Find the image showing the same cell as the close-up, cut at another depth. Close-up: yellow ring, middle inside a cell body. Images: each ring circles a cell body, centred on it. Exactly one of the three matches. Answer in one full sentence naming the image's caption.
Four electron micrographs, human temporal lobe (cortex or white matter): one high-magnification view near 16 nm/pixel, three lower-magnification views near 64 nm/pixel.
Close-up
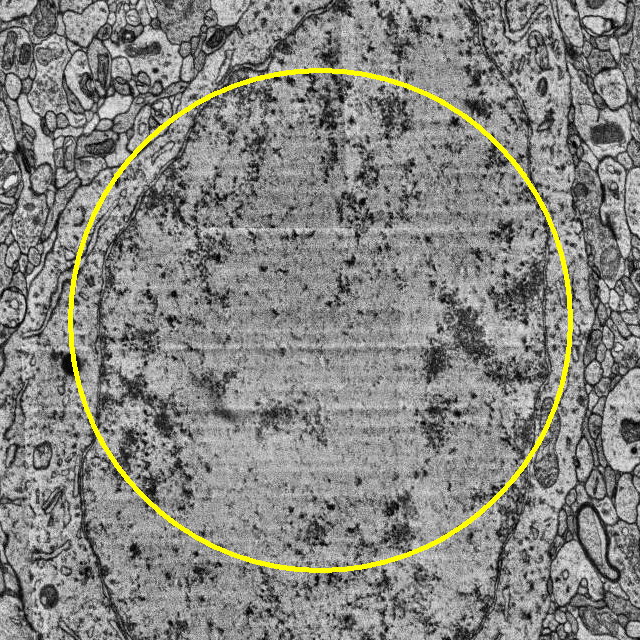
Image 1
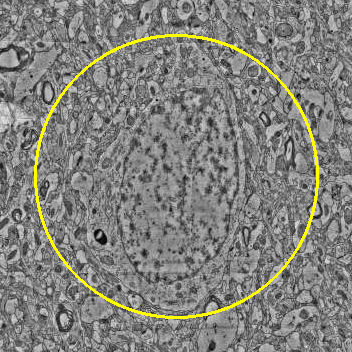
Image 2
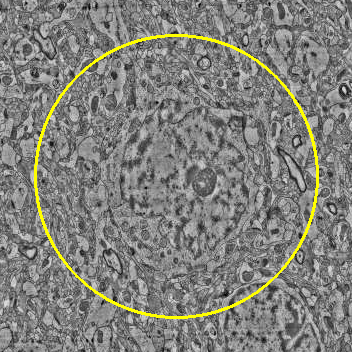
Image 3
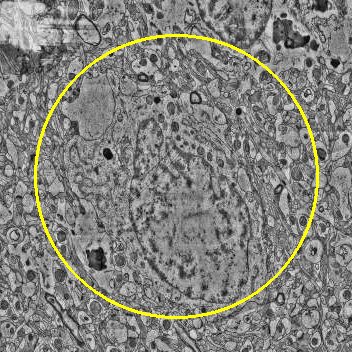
Enlarged in the close-up is the cell circled in Image 1.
